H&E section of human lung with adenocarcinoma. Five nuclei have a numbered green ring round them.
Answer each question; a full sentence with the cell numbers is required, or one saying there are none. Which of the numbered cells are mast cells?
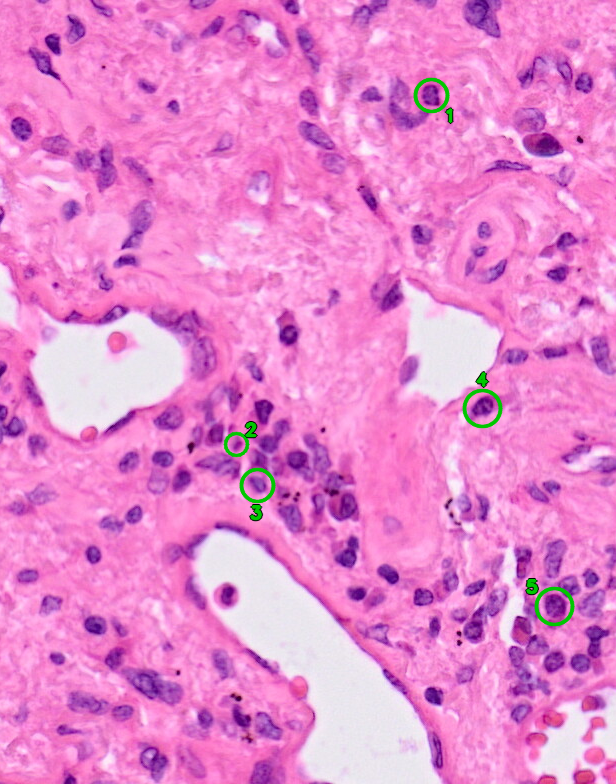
The nucleus numbered 1 is the only one that belongs to a mast cell.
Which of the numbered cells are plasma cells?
The cells marked with the numbers 2, 4 and 5 are plasma cells.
